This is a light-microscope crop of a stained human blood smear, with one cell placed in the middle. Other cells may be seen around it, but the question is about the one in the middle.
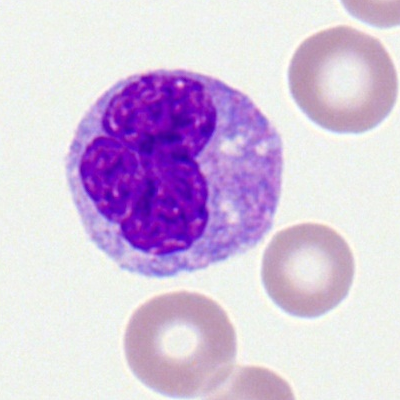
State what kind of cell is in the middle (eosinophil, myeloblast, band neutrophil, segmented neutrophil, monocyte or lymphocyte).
monocyte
